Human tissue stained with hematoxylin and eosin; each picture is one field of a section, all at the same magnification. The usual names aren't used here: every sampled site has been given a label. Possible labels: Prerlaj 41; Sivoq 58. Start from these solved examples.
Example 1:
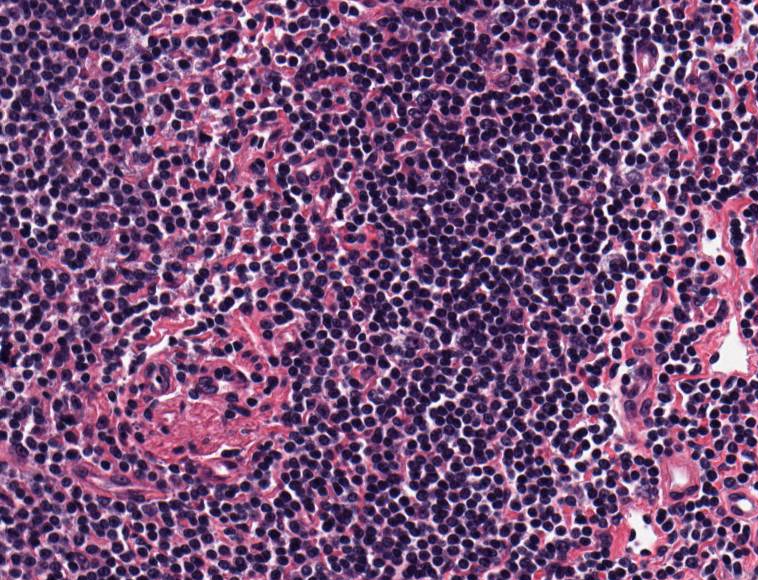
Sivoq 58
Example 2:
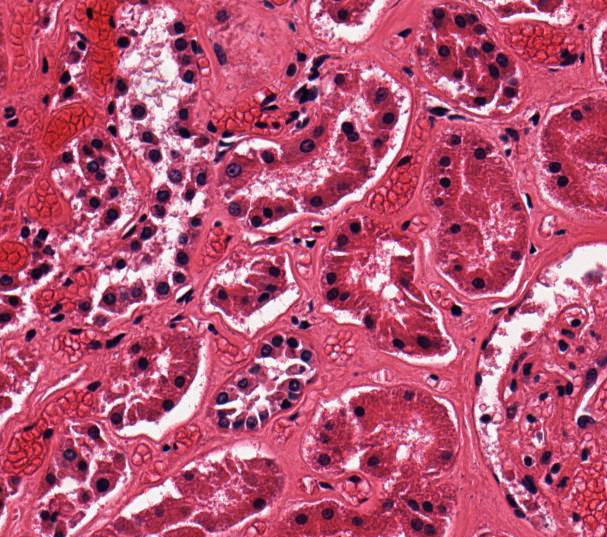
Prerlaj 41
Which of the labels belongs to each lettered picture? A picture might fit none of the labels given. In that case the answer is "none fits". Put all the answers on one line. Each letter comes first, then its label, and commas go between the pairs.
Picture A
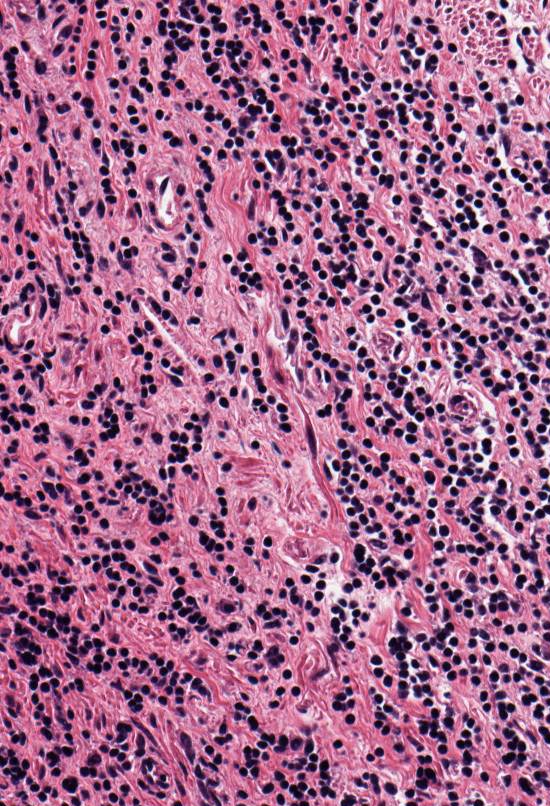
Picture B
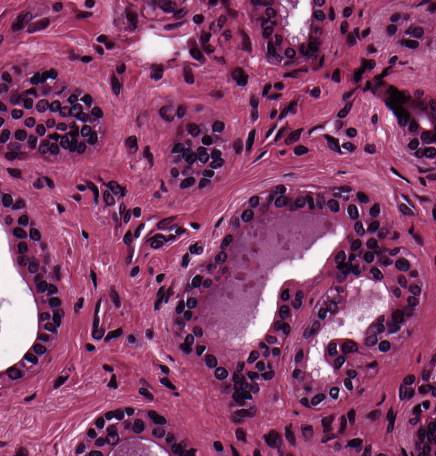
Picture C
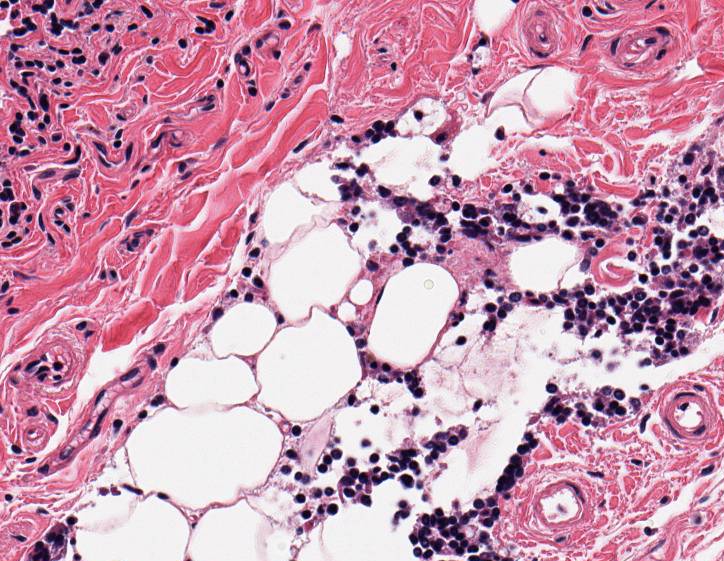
A Sivoq 58, B none fits, C Sivoq 58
